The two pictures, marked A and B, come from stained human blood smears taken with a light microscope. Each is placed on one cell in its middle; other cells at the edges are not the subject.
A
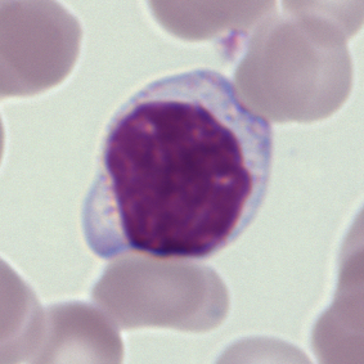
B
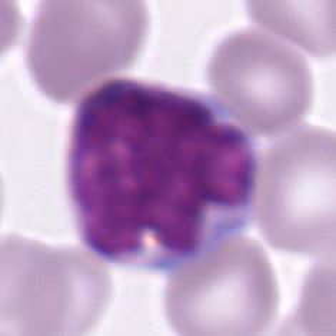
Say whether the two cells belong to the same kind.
yes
